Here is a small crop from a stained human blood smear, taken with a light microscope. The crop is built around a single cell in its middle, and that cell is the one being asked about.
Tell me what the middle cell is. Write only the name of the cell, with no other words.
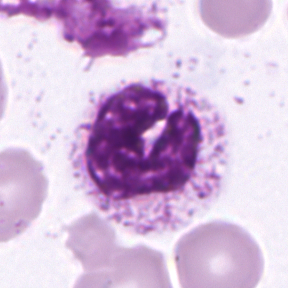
band neutrophil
